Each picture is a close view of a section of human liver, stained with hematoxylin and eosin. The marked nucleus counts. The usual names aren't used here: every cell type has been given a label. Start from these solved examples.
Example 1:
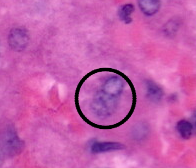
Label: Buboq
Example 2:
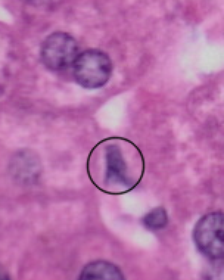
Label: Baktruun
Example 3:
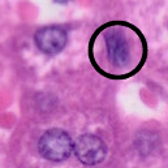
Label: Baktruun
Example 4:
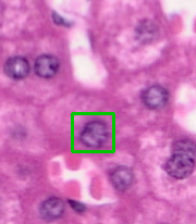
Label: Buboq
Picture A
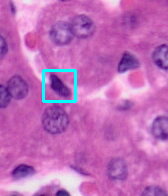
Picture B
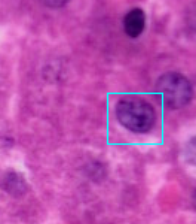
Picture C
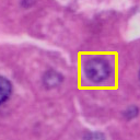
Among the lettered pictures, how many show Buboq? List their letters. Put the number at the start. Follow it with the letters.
Count: 2 (B, C)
